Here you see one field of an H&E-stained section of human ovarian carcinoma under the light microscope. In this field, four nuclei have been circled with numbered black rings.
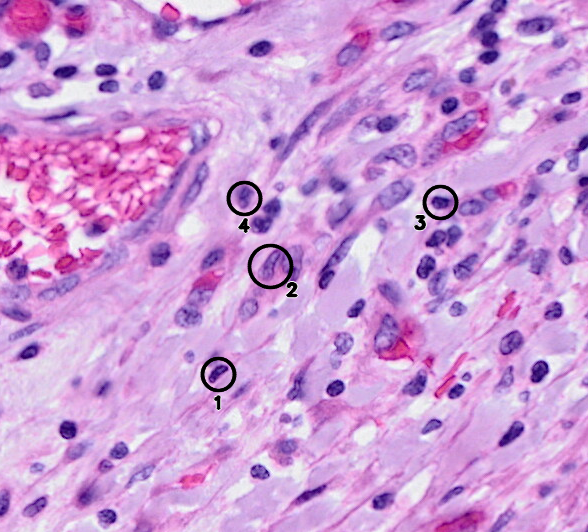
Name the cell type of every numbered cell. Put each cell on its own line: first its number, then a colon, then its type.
1: lymphocyte
2: endothelial cell
3: lymphocyte
4: lymphocyte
